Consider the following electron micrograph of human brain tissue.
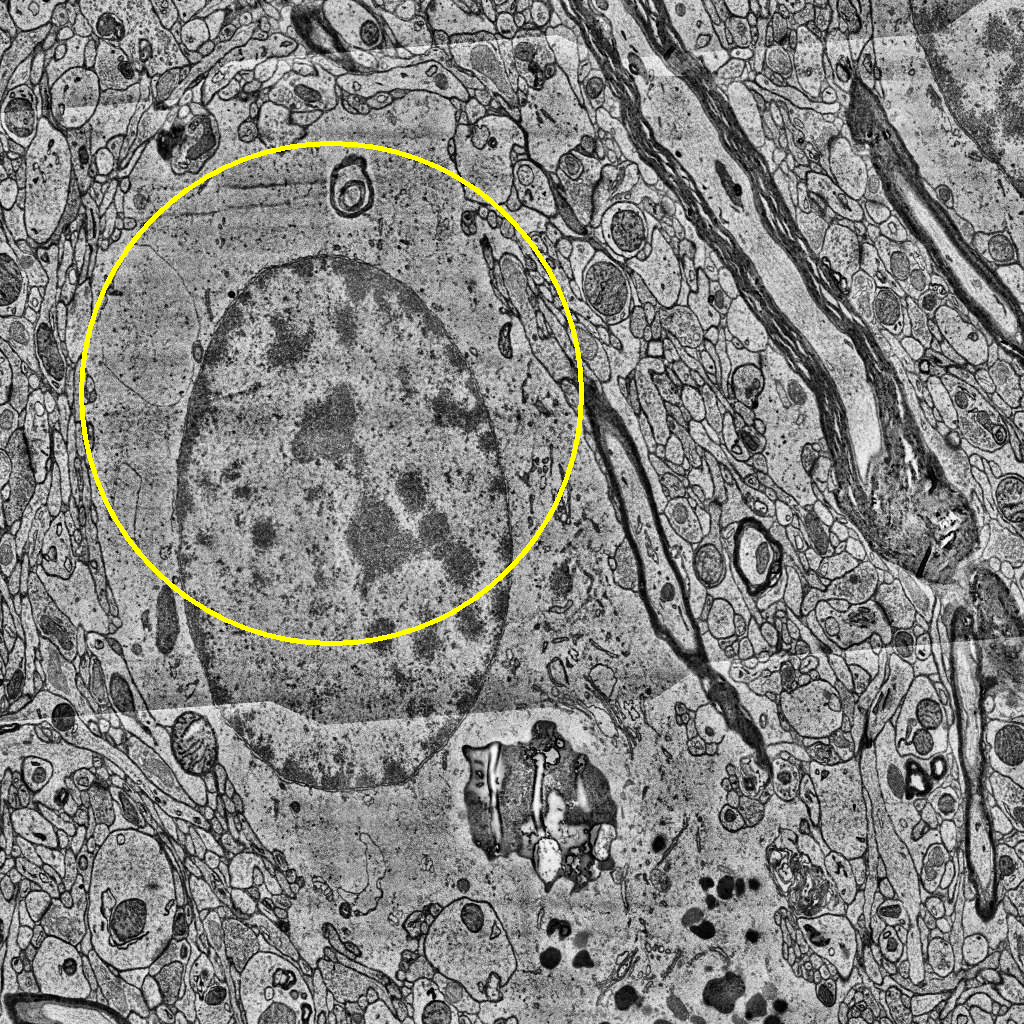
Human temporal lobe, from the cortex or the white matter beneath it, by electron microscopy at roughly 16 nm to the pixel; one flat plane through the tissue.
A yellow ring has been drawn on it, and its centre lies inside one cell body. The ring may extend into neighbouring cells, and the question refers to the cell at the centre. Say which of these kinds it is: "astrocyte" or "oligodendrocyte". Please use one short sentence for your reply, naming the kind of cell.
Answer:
The centre of the ring falls on an astrocyte.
